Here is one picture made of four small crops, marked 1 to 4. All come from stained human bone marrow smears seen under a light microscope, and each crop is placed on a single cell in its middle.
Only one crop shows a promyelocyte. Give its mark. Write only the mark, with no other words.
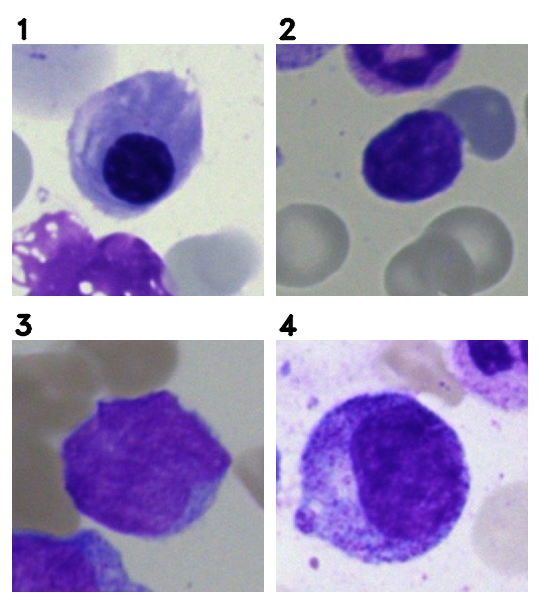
4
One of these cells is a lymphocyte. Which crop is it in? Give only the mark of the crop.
2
